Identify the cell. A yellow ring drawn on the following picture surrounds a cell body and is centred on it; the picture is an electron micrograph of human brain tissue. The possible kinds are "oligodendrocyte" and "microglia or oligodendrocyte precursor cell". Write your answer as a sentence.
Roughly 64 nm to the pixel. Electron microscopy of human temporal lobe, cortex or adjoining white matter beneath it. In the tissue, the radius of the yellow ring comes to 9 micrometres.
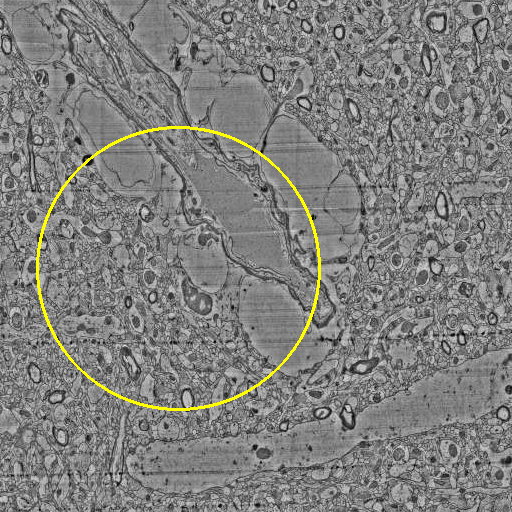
The cell identified by the ring is a microglial cell or oligodendrocyte precursor cell.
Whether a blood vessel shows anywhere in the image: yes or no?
Yes.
